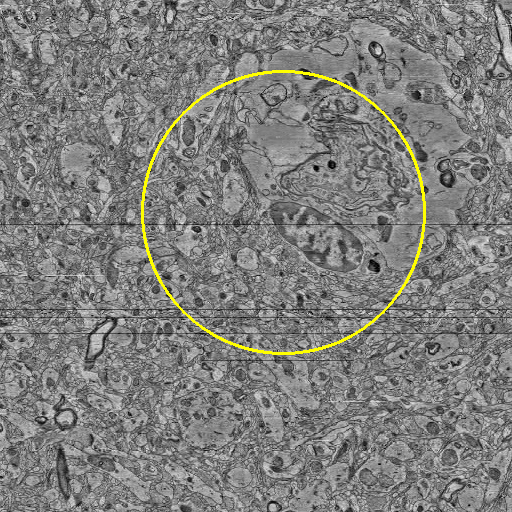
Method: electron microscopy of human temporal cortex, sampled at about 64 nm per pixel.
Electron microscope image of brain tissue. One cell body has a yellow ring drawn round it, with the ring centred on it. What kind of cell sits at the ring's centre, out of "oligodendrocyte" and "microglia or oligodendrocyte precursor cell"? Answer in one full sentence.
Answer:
It is a microglial cell or oligodendrocyte precursor cell whose cell body sits at the centre of the yellow ring.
